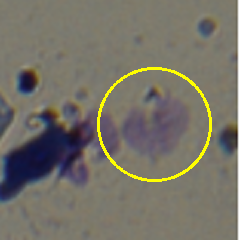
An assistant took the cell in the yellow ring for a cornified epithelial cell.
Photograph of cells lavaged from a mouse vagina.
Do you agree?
I agree, it is a cornified epithelial cell.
